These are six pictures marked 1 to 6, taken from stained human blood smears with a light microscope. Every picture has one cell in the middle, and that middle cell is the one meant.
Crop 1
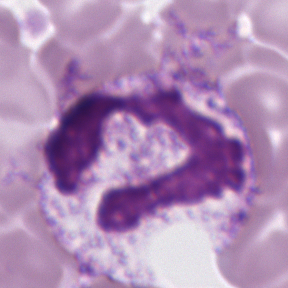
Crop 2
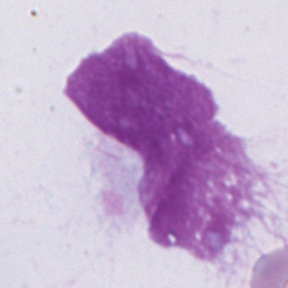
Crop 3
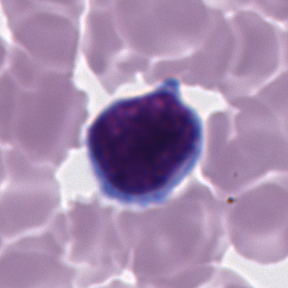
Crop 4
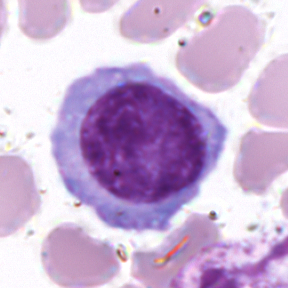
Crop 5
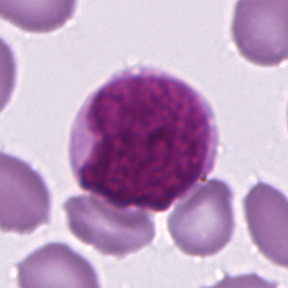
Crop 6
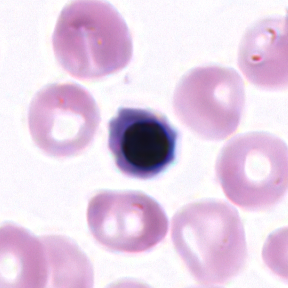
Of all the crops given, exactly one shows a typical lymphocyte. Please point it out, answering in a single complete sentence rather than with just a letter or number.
Crop 3 is the one to choose: it shows a typical lymphocyte.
